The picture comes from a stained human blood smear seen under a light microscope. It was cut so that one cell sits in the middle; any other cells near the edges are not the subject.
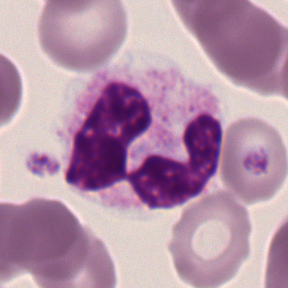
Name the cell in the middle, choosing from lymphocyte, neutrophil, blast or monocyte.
neutrophil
